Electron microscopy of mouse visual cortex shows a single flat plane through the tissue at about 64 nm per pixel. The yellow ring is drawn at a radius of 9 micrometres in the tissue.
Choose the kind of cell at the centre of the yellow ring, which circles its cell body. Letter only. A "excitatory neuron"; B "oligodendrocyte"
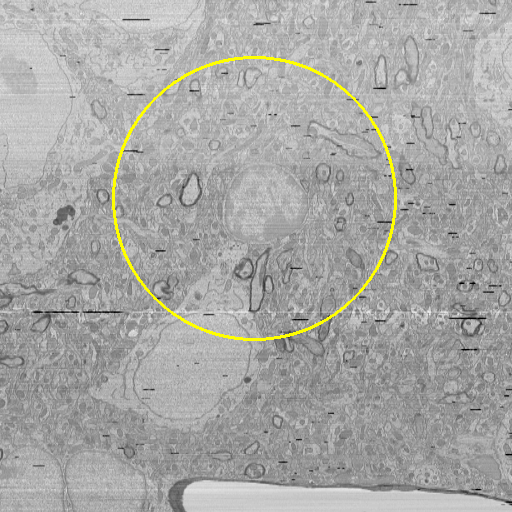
B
